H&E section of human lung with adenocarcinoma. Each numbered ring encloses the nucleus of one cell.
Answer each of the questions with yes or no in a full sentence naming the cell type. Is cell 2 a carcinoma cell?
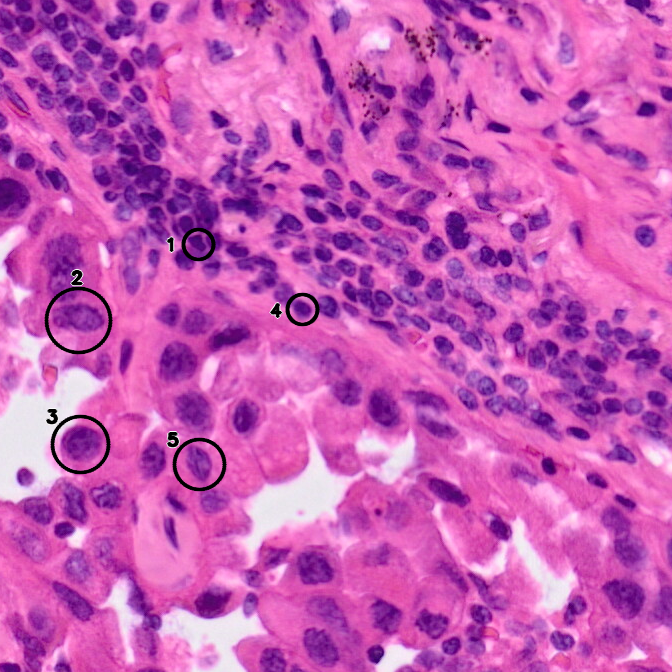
Yes, cell 2 among the marked cells is a carcinoma cell.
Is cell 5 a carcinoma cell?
Yes, exactly, the cell numbered 5 is a carcinoma cell.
